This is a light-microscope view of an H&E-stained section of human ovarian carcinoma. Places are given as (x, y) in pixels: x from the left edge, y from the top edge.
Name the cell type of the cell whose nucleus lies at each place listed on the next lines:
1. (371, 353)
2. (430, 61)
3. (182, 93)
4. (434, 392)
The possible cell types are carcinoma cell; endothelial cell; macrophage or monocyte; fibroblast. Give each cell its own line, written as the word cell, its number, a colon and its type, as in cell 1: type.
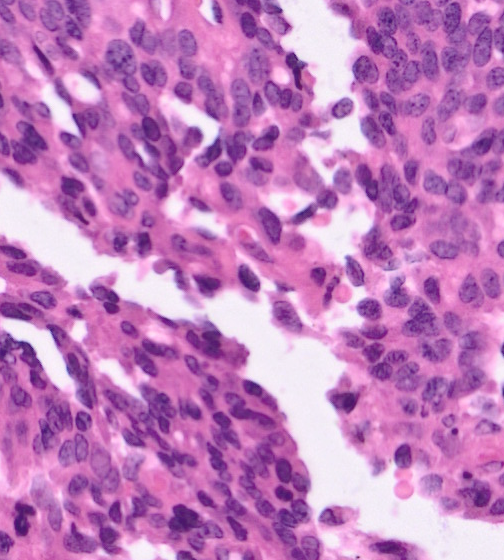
cell 1: carcinoma cell
cell 2: carcinoma cell
cell 3: carcinoma cell
cell 4: macrophage or monocyte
